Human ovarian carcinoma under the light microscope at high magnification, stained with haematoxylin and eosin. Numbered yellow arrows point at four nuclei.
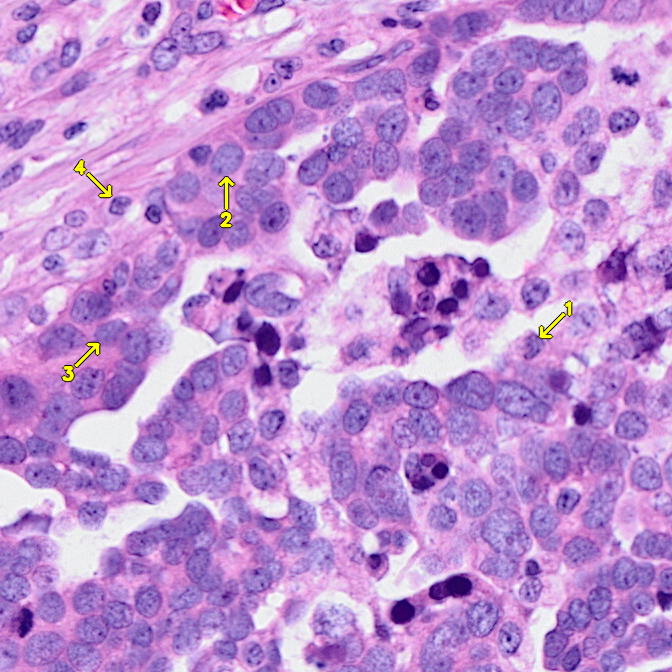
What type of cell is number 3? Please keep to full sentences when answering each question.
The numbered cell 3 is identified here as a carcinoma cell.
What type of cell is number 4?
Looking at the numbered marks, cell 4 is a lymphocyte.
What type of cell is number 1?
Regarding cell 1, this one is a macrophage or monocyte.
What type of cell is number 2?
The cell identified by number 2 is a carcinoma cell.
